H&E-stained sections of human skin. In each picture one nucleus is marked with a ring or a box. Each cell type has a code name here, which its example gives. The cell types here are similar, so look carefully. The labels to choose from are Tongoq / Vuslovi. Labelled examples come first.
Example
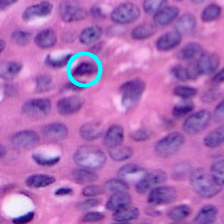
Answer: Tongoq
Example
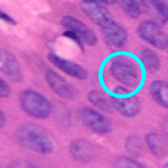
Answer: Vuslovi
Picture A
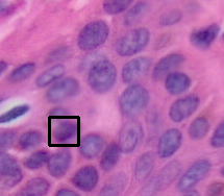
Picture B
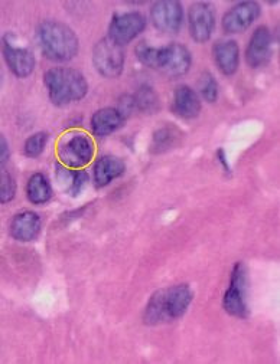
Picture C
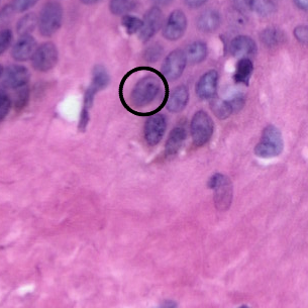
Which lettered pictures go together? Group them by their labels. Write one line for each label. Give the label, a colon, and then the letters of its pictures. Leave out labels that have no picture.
Tongoq: A, B, C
